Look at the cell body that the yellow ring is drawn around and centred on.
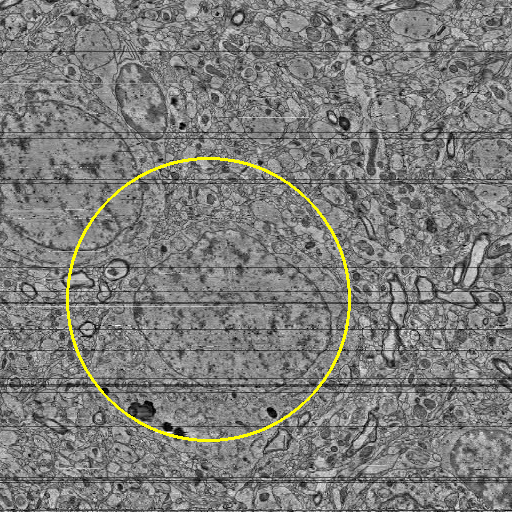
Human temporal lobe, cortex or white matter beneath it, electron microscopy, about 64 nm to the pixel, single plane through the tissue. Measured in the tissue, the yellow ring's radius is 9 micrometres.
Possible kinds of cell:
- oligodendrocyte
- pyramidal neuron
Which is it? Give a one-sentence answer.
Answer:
The centred cell body is that of a pyramidal neuron.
